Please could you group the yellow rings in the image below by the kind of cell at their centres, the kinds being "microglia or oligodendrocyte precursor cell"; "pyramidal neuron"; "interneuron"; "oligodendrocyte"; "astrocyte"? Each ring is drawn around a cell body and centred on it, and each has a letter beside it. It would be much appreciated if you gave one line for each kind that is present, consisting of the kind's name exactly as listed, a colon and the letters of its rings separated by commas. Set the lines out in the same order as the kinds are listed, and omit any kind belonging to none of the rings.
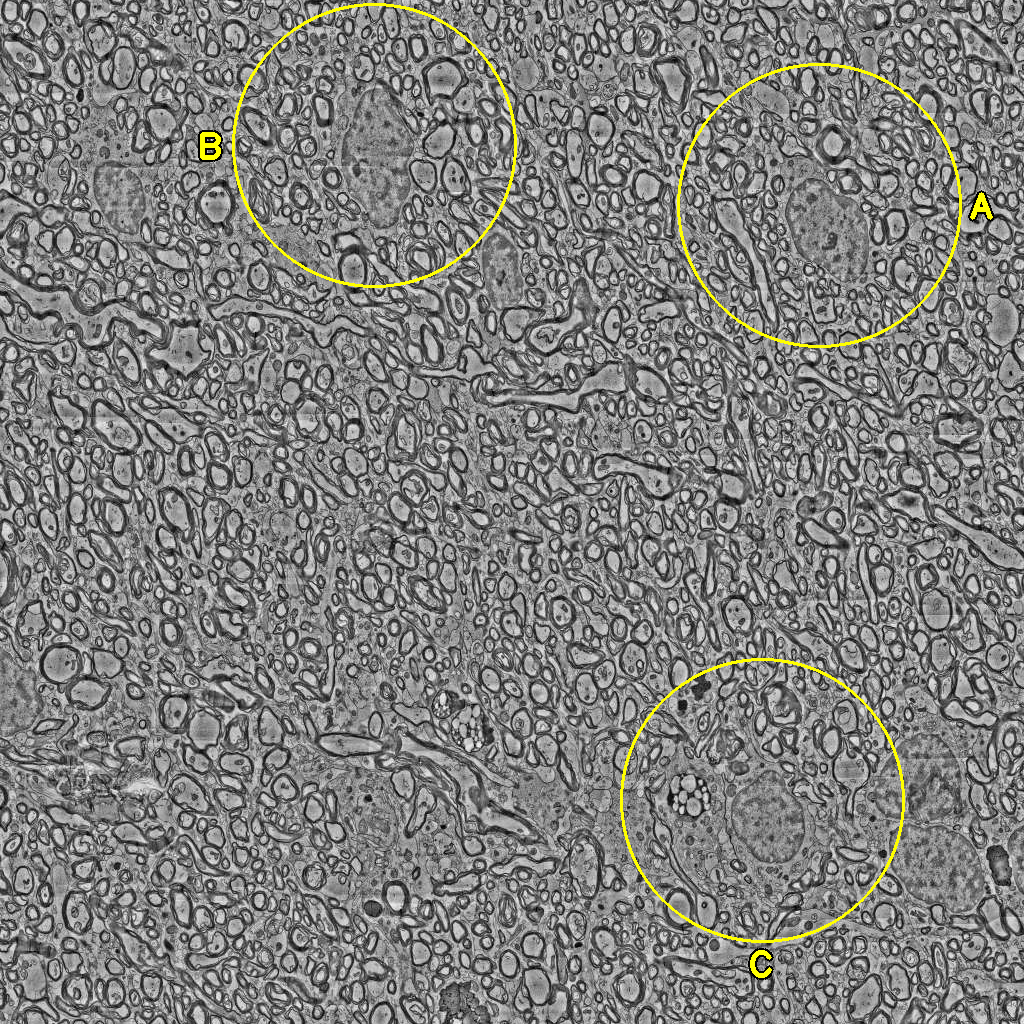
oligodendrocyte: A, B, C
